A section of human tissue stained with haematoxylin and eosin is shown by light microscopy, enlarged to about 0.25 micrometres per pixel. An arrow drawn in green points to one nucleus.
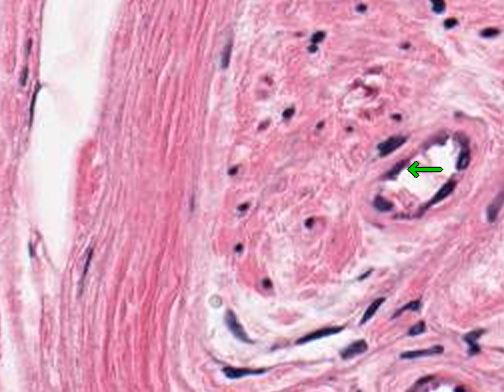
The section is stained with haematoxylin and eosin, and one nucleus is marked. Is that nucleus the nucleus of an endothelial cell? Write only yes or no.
yes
